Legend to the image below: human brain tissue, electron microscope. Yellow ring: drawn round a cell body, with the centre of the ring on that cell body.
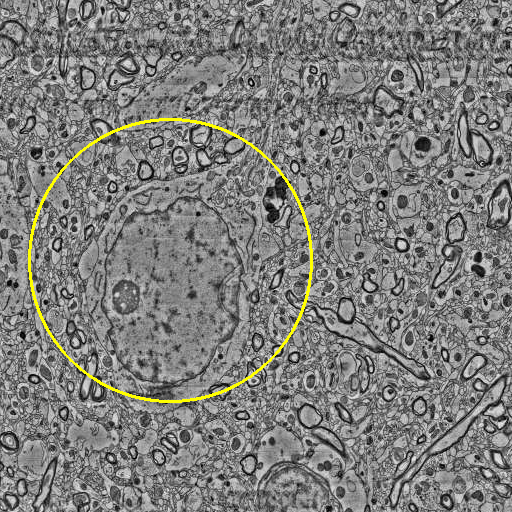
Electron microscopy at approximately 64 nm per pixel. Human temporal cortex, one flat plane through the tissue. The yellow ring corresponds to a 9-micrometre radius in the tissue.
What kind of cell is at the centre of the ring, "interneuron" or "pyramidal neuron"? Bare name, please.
interneuron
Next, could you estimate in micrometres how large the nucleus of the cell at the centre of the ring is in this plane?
Roughly 12 by 9 micrometres is the size of the nucleus in this plane.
